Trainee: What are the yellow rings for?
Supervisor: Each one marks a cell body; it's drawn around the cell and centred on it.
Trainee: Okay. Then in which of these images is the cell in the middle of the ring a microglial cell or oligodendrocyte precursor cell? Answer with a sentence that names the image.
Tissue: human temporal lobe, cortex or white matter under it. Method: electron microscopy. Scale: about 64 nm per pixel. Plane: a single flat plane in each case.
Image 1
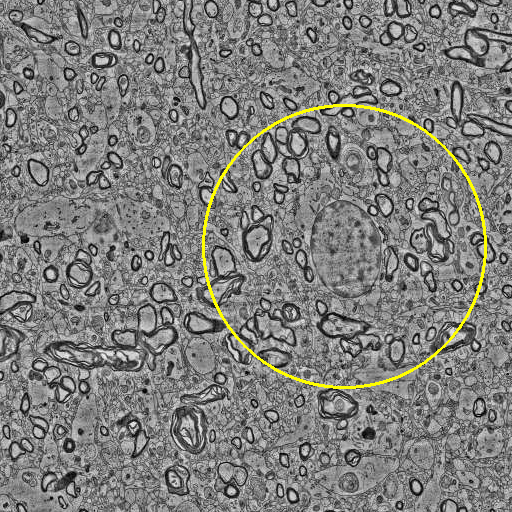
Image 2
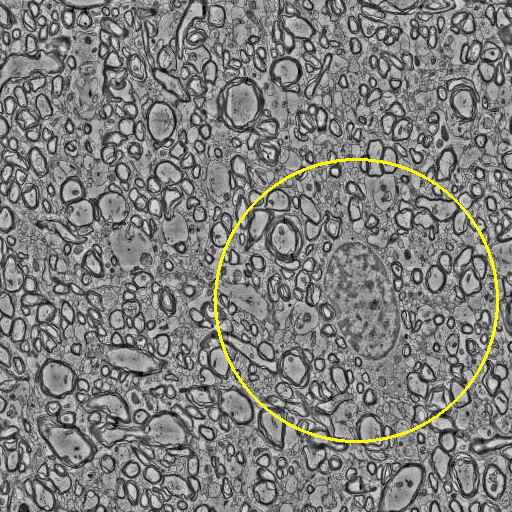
Image 1 has it in the middle of the ring.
